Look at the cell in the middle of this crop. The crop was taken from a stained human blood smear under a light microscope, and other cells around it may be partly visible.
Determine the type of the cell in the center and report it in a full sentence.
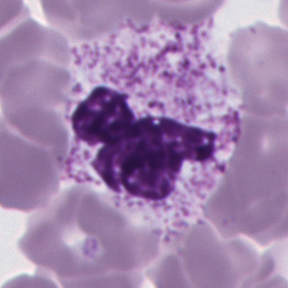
The cell at the middle of the frame should be recorded as a segmented neutrophil.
